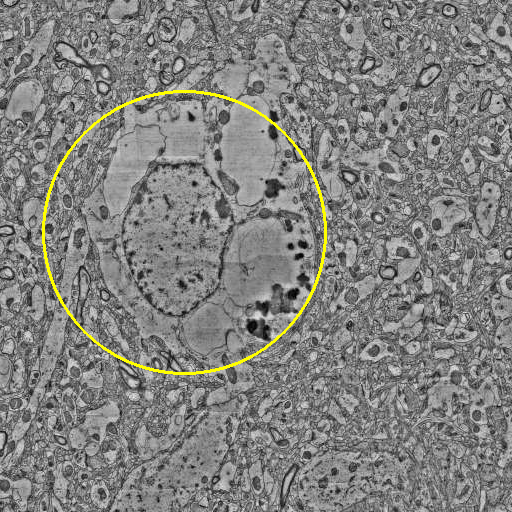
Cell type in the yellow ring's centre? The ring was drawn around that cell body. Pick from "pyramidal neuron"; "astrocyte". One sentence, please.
The ringed cell body is that of an astrocyte.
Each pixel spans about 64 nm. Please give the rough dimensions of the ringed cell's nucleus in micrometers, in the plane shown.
In this plane, the nucleus is roughly 10 by 7 micrometres.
